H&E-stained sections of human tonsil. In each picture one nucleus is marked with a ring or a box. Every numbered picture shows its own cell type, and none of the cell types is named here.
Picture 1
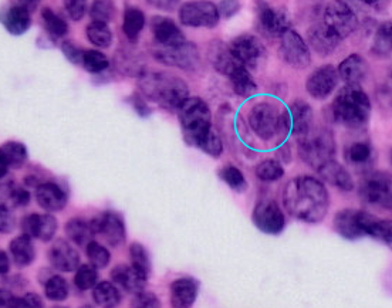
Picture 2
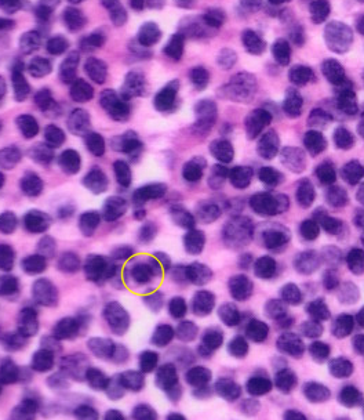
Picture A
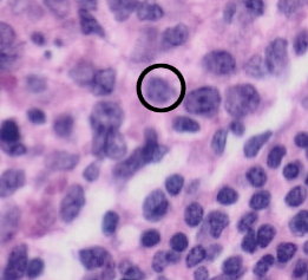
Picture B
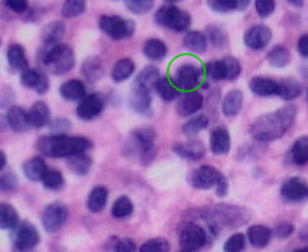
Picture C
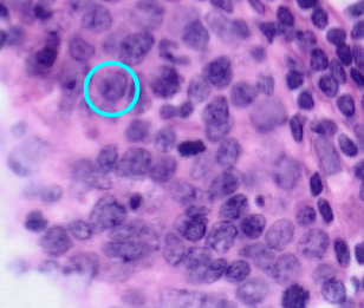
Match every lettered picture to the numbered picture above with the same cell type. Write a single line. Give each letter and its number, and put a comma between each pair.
A 1, B 2, C 1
